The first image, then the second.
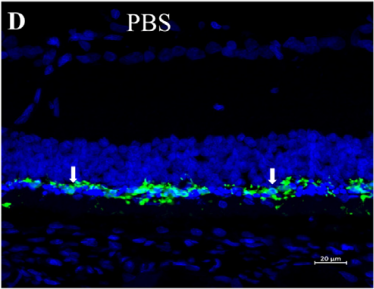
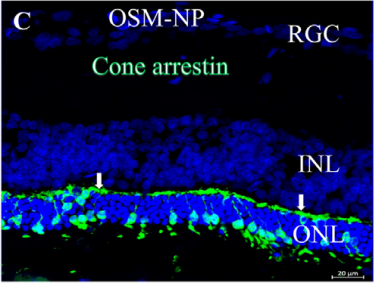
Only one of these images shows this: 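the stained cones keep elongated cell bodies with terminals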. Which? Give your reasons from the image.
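First image: green stain forms a thin, patchy, flat band without distinct cell shapes. Second image: green cells have distinct elongated bodies in a row, with swellings at their inner ends.
Hence: the second image.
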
